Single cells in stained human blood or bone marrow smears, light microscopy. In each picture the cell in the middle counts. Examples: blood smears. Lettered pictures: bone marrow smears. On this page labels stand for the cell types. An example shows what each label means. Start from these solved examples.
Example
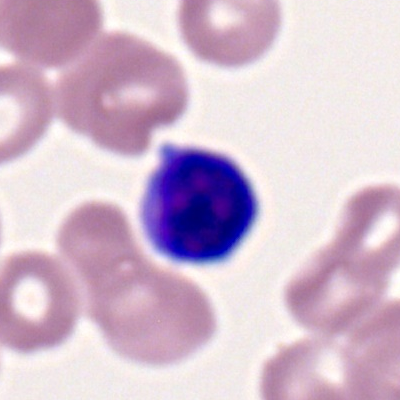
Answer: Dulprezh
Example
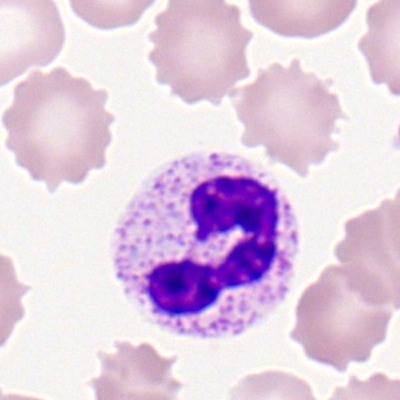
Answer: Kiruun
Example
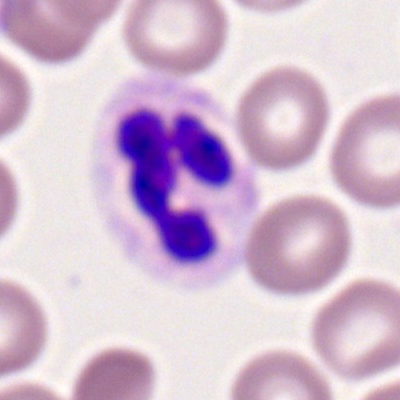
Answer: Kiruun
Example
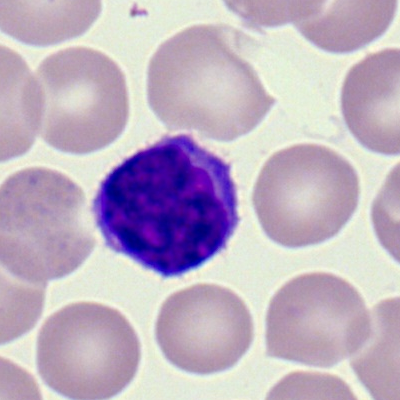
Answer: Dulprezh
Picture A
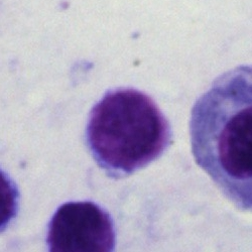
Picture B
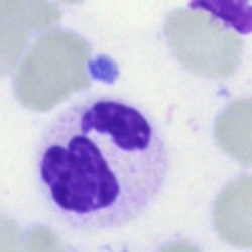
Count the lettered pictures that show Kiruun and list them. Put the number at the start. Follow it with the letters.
Count: 1 (B)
